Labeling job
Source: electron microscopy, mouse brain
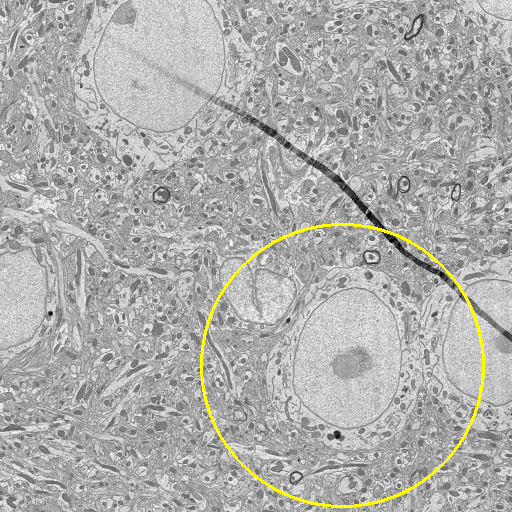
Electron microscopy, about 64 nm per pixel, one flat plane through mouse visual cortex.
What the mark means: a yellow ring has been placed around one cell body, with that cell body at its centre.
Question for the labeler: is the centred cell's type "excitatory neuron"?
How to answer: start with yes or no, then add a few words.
Yes, that is its type.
